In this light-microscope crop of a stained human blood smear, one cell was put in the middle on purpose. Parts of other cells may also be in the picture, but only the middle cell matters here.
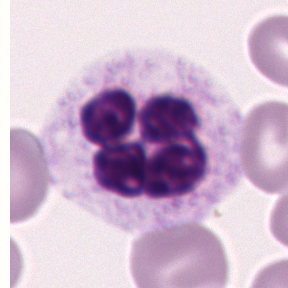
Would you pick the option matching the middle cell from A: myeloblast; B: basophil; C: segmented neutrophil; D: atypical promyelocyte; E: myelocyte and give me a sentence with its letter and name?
The right choice is option C: the cell in the middle is a segmented neutrophil.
